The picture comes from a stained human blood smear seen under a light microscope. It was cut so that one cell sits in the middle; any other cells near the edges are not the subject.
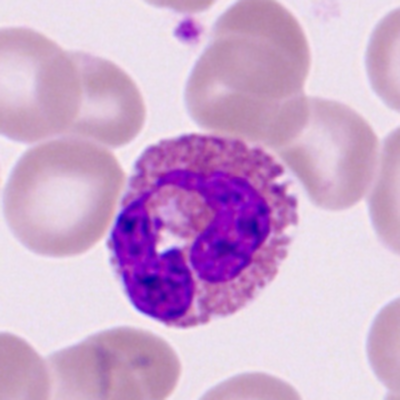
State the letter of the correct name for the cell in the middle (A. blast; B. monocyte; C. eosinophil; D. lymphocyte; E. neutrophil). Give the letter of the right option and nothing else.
C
